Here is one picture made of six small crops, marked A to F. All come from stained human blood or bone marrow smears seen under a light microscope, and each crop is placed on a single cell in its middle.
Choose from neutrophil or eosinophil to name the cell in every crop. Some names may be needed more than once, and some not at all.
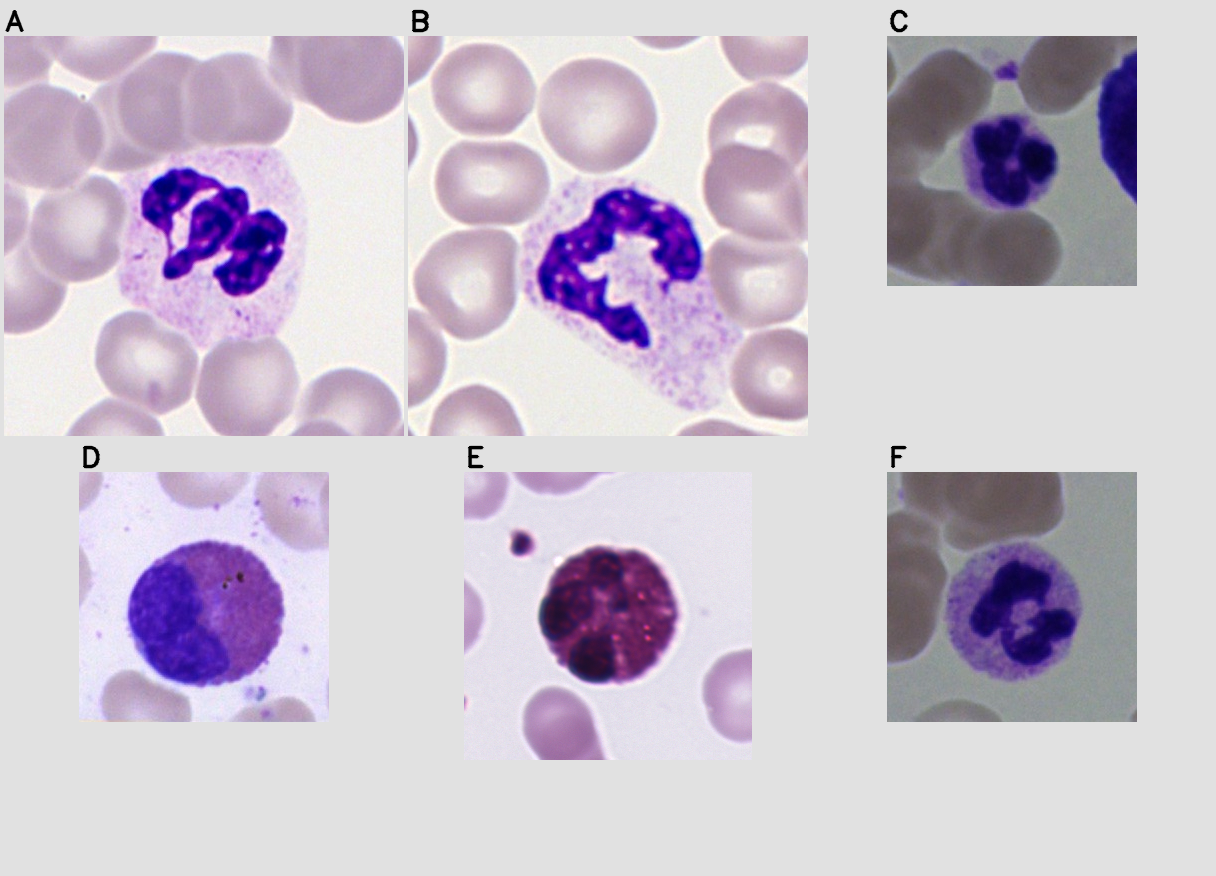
A: neutrophil
B: neutrophil
C: neutrophil
D: eosinophil
E: eosinophil
F: neutrophil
